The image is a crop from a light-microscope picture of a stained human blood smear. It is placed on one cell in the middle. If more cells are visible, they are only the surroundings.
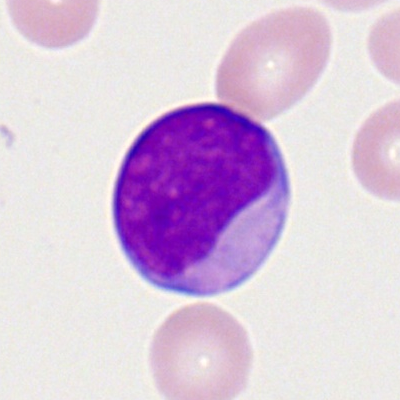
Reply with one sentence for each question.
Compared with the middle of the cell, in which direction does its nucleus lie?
It is shifted toward the upper left of the cell.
